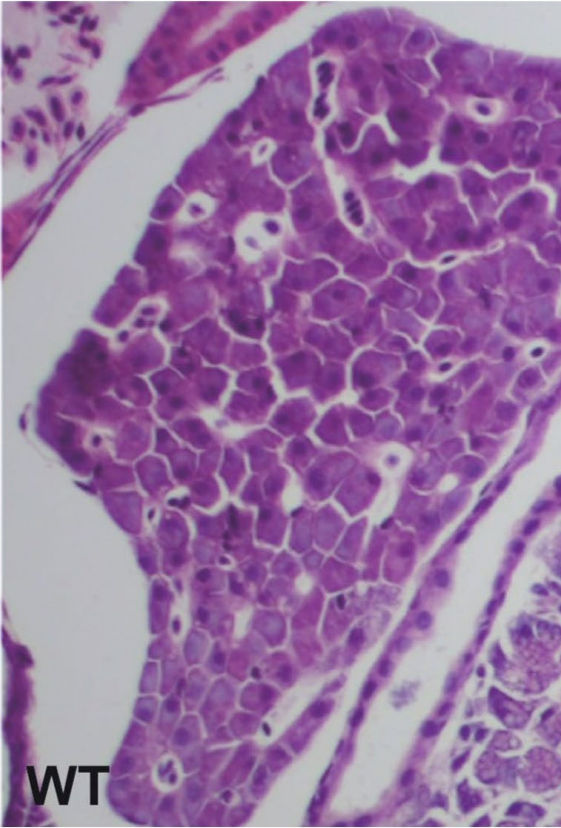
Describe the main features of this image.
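The hepatocytes are polygonal, with sharp borders outlined by thin white clefts, and they lie in irregular plates. Each has a round, dark purple nucleus and evenly stained, finely granular pink-purple cytoplasm without clear holes. A narrow band of thin connective tissue and a white gap separate the liver from a neighbouring tissue at the lower right. There, cells hold coarsely granular pink cytoplasm and are grouped into rounded clusters.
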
